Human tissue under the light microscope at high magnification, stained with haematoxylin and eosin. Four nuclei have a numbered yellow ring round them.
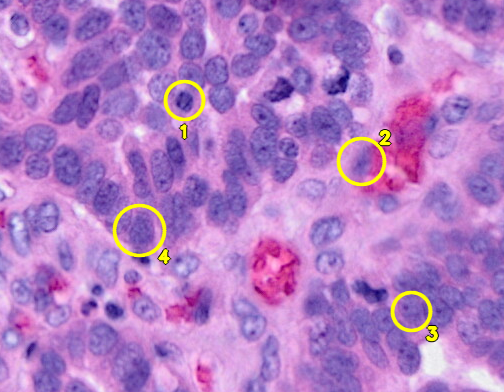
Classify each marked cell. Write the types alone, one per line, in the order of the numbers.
lymphocyte
endothelial cell
carcinoma cell
carcinoma cell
